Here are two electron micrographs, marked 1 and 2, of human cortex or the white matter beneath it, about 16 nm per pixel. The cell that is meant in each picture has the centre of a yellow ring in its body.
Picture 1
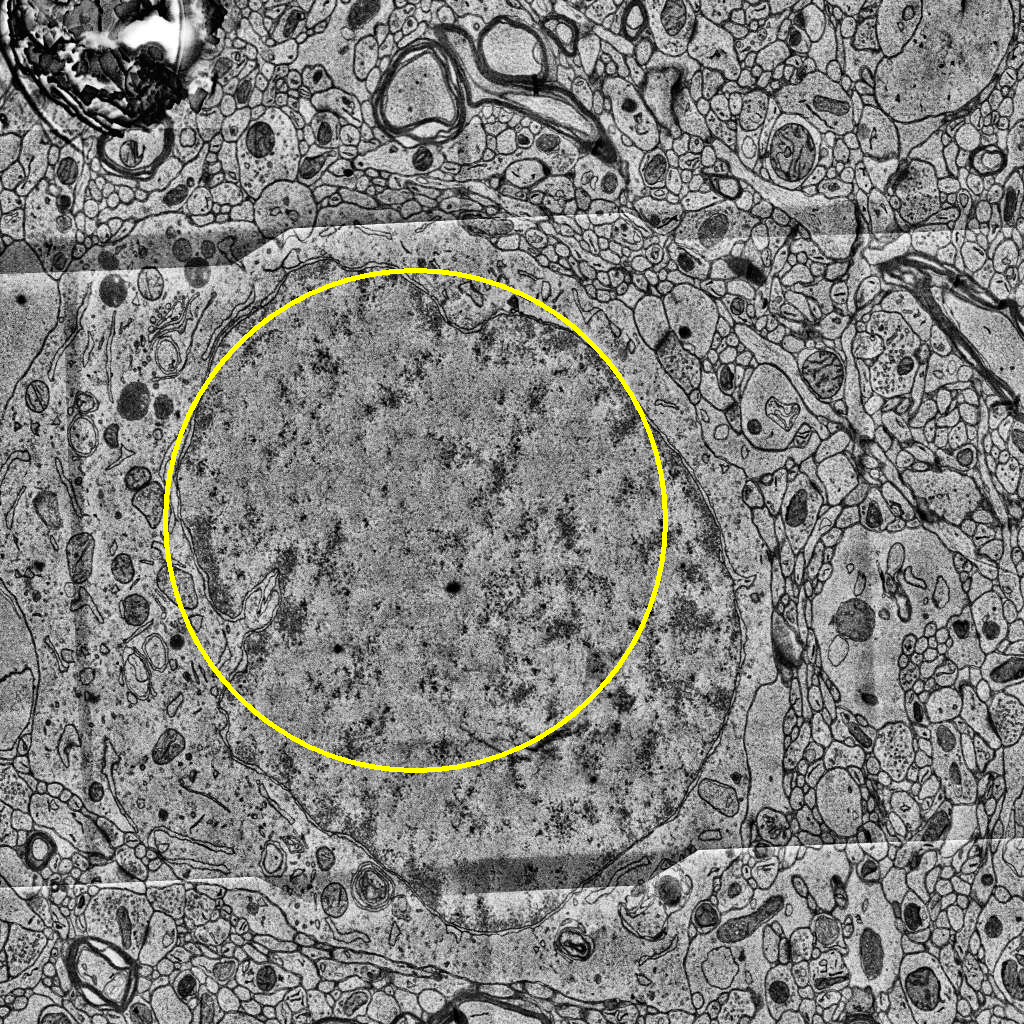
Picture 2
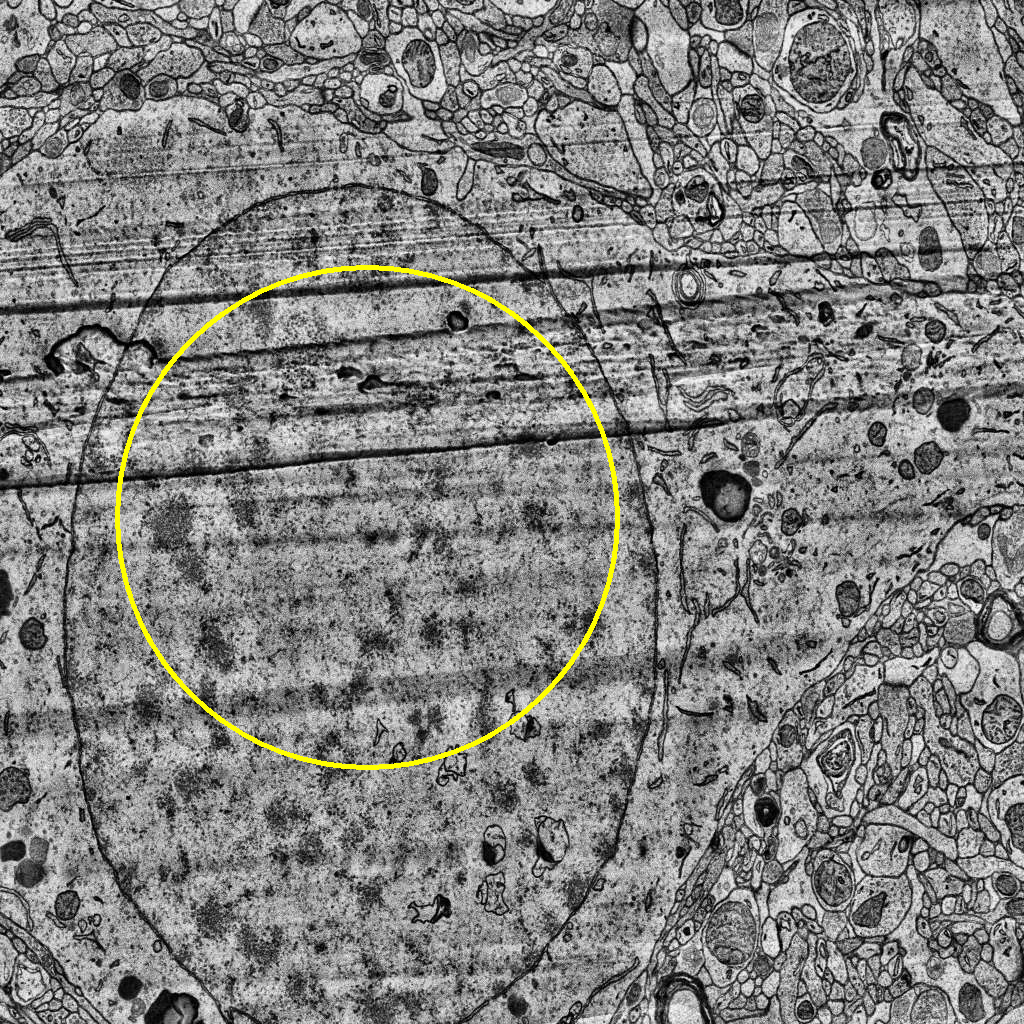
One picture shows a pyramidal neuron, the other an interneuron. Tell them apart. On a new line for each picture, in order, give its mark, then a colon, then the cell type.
1: interneuron
2: pyramidal neuron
